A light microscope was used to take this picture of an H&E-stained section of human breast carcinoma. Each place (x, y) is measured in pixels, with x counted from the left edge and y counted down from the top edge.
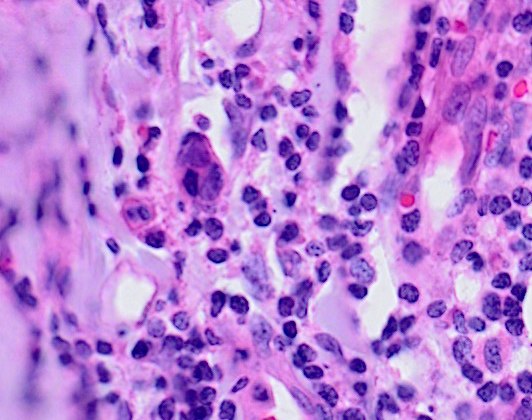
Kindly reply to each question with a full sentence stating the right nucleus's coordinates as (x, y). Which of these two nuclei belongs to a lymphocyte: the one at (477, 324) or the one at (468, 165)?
That would be the nucleus at (477, 324); it belongs to a lymphocyte.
